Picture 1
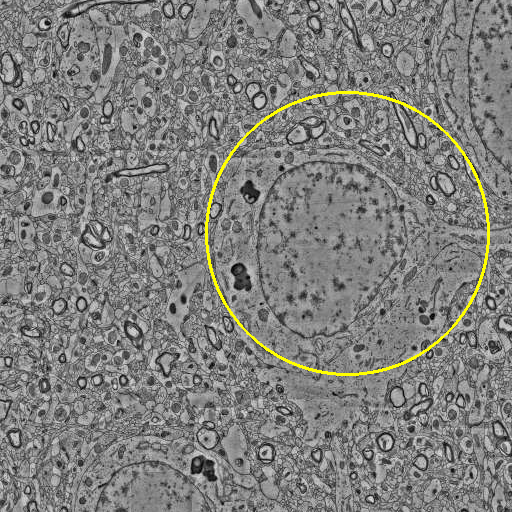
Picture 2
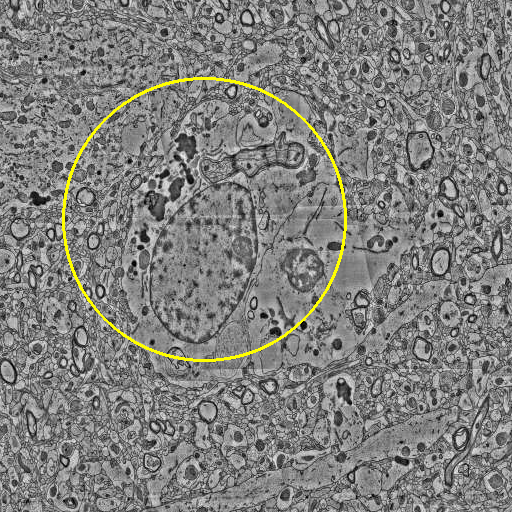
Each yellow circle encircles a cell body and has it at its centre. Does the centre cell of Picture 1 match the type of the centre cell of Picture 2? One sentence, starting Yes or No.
No, the cell centred in Picture 1 and the one in Picture 2 have separate types.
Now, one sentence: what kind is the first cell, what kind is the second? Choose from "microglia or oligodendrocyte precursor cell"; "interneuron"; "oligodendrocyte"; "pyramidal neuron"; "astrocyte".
The first picture has a pyramidal neuron at its ring centre, and the second has an astrocyte.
